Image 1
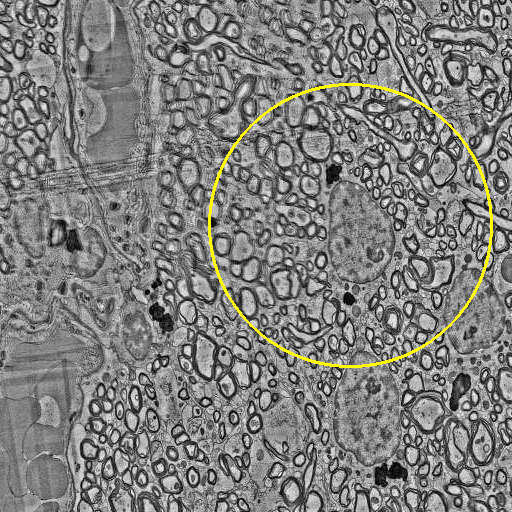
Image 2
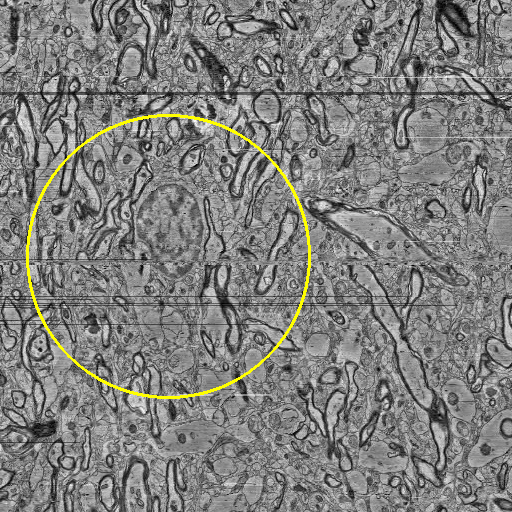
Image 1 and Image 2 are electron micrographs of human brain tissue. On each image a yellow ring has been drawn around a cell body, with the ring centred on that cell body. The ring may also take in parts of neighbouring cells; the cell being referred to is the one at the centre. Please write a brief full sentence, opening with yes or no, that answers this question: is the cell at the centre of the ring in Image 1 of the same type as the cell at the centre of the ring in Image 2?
Yes, both cells are of the same type.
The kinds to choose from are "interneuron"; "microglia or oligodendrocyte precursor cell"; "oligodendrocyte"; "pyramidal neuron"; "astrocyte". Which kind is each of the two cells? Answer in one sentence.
In each picture the ringed cell is an oligodendrocyte.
